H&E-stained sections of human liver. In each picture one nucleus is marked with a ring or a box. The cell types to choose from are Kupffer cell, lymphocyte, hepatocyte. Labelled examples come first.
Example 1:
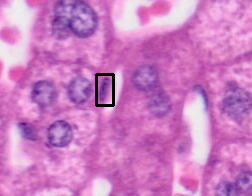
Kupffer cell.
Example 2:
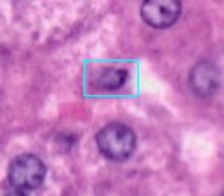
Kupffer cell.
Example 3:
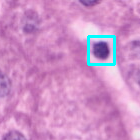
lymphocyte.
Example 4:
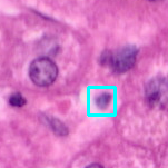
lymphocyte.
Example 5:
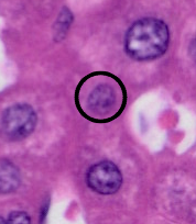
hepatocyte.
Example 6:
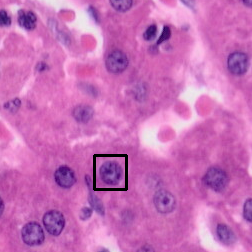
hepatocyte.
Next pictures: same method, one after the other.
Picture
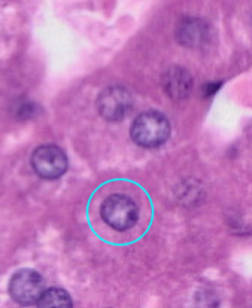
hepatocyte.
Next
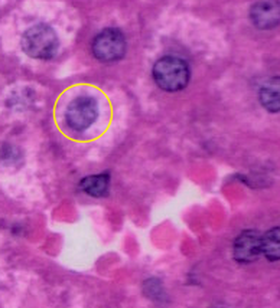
hepatocyte.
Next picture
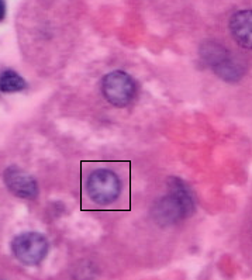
hepatocyte.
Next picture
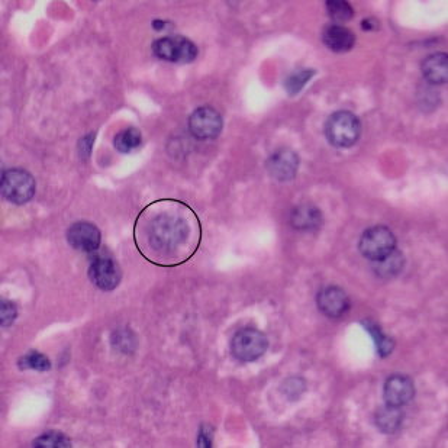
hepatocyte.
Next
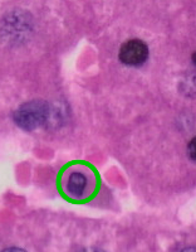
Kupffer cell.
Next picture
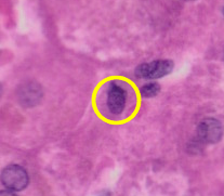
Kupffer cell.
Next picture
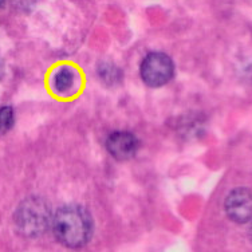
lymphocyte.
